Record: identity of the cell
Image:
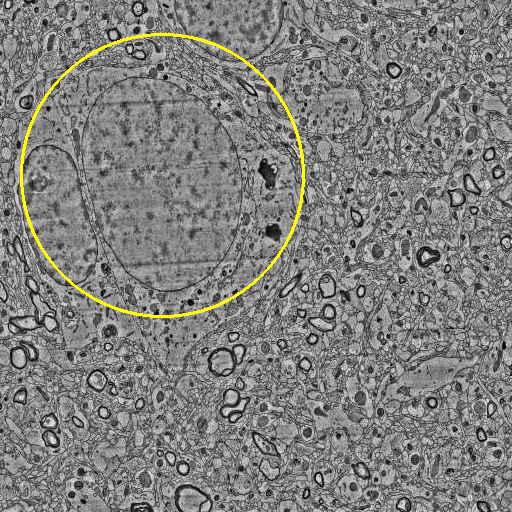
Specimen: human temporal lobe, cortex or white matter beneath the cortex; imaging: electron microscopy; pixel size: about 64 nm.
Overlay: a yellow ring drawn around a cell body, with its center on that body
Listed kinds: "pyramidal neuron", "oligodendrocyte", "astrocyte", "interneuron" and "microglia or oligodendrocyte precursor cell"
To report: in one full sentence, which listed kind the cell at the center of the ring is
In the image, the cell body at the ring's center belongs to a pyramidal neuron.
